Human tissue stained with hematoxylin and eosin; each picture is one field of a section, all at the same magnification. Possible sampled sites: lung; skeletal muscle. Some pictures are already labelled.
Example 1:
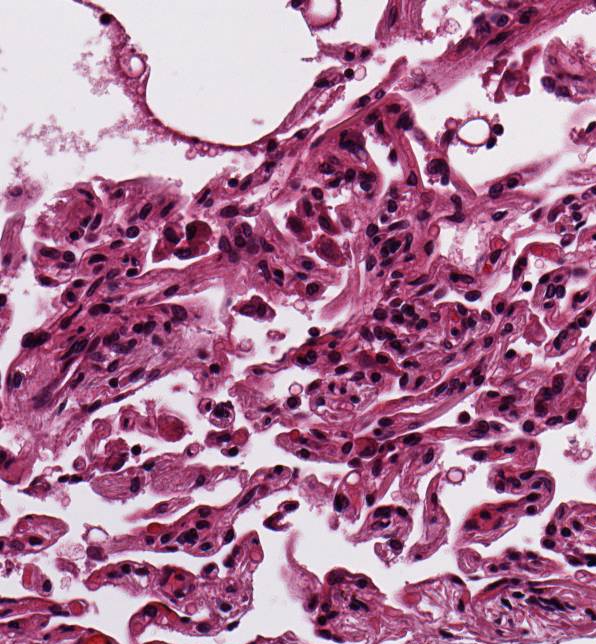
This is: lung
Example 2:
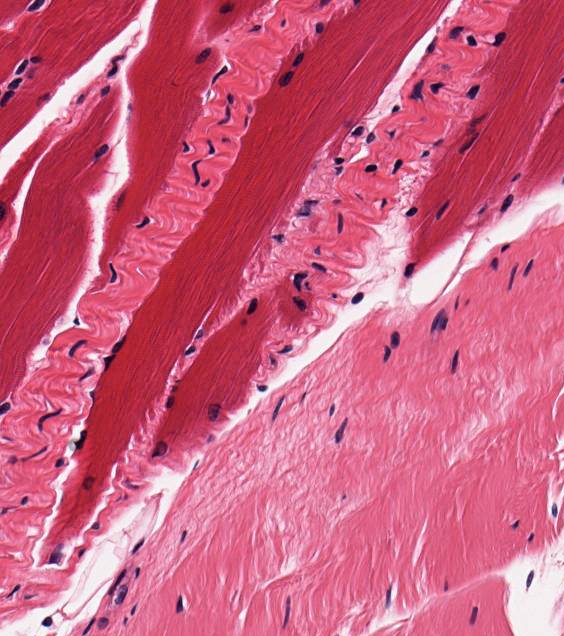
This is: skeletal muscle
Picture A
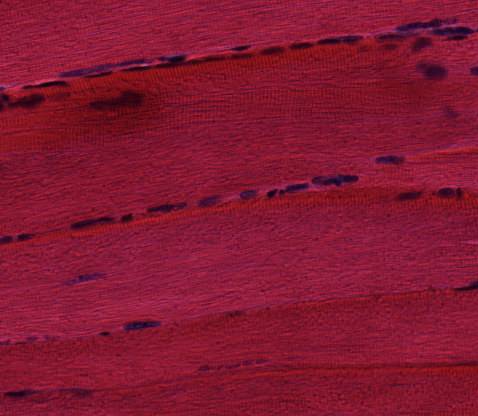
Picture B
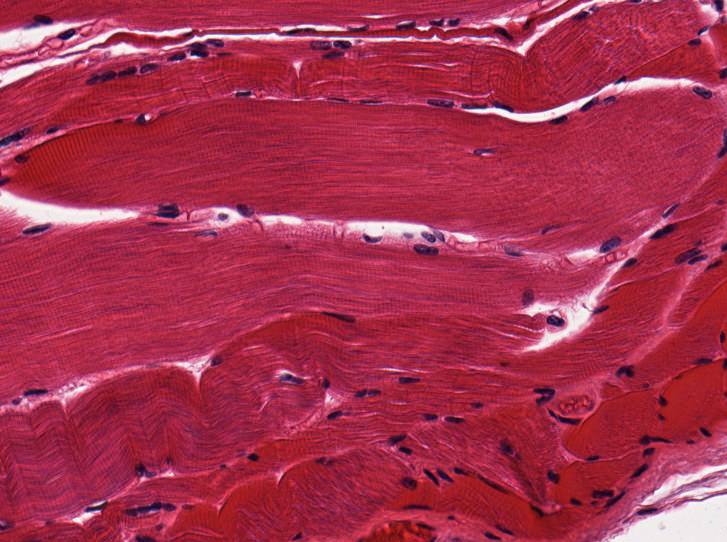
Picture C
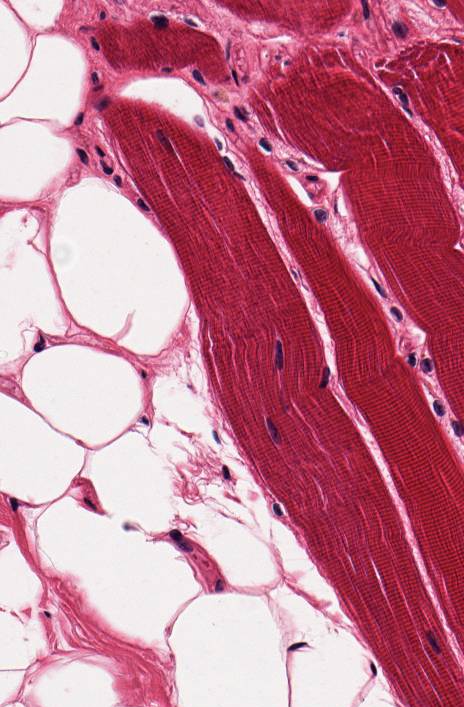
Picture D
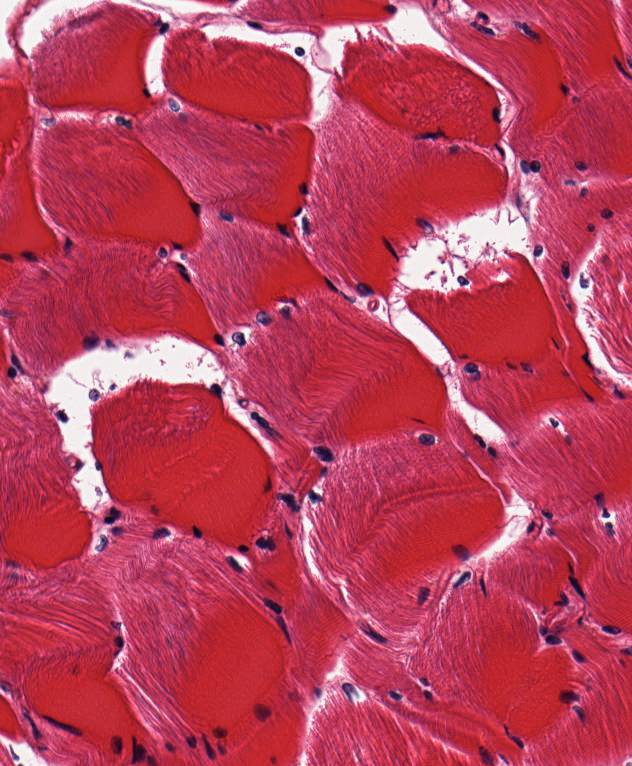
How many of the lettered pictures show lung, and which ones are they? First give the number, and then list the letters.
0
